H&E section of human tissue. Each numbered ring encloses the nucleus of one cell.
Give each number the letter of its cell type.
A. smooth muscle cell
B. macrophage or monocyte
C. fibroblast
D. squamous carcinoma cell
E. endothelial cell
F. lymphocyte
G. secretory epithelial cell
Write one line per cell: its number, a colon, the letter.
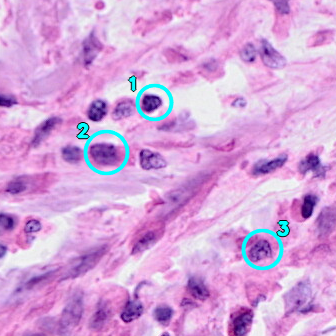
1: F
2: B
3: B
